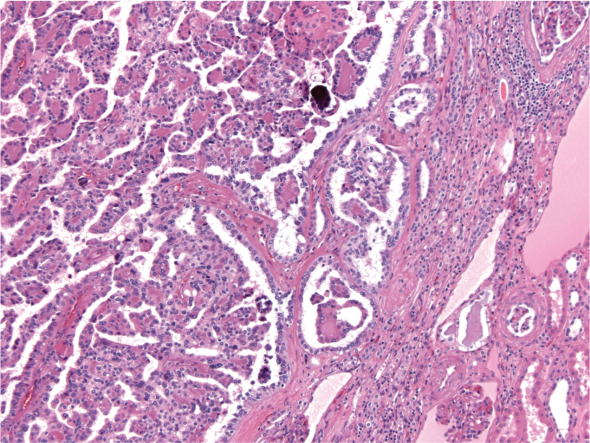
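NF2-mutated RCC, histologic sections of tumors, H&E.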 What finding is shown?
Scattered calcifications.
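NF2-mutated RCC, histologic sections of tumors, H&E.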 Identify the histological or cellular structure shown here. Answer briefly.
Papillary architecture.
